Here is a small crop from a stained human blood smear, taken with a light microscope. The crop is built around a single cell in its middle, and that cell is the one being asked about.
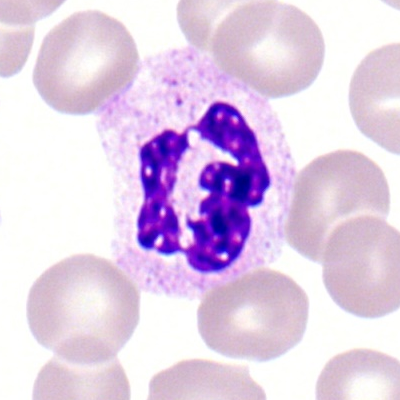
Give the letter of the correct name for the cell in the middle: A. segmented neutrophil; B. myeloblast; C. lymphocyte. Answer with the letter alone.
A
